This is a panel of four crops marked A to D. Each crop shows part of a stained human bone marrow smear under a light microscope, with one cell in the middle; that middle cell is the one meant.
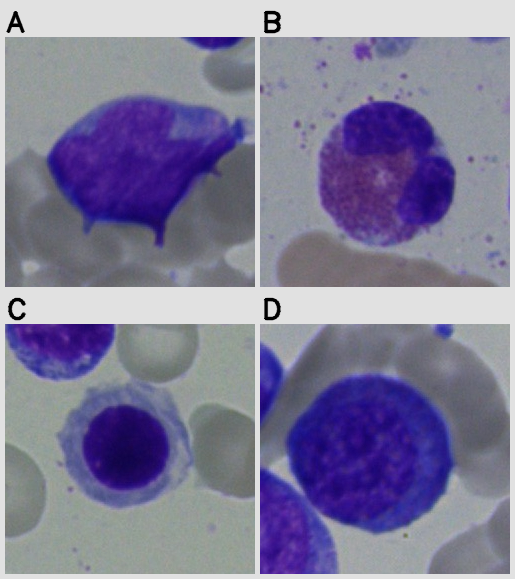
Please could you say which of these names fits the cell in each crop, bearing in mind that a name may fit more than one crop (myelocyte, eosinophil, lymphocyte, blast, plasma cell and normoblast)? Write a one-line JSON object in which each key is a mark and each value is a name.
{"A": "blast", "B": "eosinophil", "C": "normoblast", "D": "plasma cell"}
